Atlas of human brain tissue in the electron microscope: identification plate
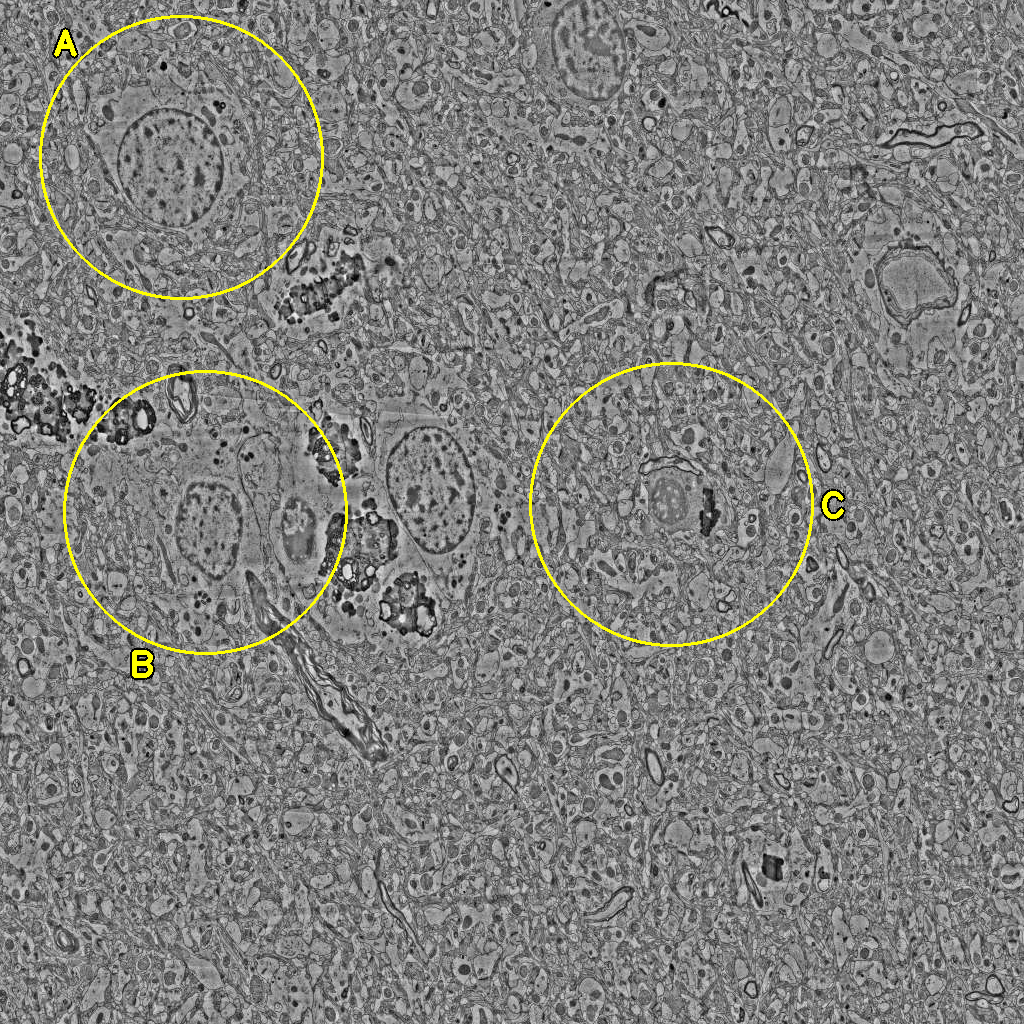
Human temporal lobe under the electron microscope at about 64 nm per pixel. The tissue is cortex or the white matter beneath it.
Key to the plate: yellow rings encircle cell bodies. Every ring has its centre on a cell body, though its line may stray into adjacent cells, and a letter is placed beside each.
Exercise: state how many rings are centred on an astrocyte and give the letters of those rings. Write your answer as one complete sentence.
Identified by the letters A and B, two rings are each centred on an astrocyte.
